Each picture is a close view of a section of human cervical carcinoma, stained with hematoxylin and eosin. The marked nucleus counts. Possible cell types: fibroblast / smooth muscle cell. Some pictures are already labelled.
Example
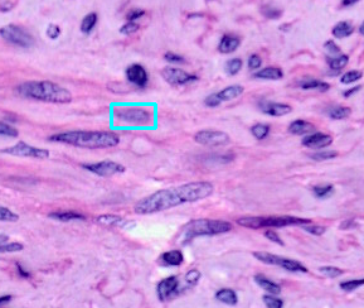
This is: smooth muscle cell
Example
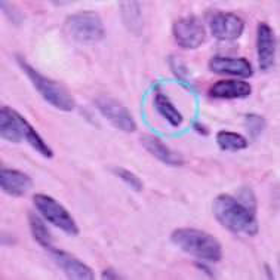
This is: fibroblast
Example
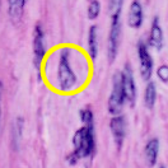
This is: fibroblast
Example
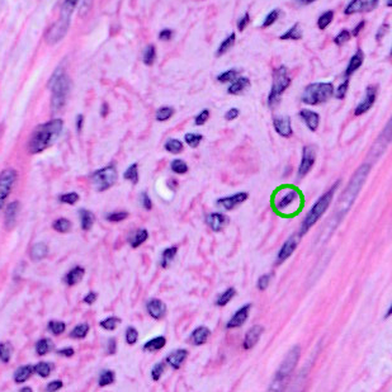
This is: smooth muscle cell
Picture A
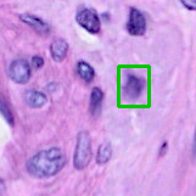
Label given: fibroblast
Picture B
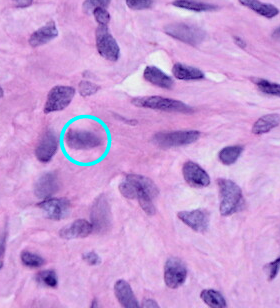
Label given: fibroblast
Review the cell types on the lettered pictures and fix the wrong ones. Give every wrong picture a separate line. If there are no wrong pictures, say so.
All correct.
